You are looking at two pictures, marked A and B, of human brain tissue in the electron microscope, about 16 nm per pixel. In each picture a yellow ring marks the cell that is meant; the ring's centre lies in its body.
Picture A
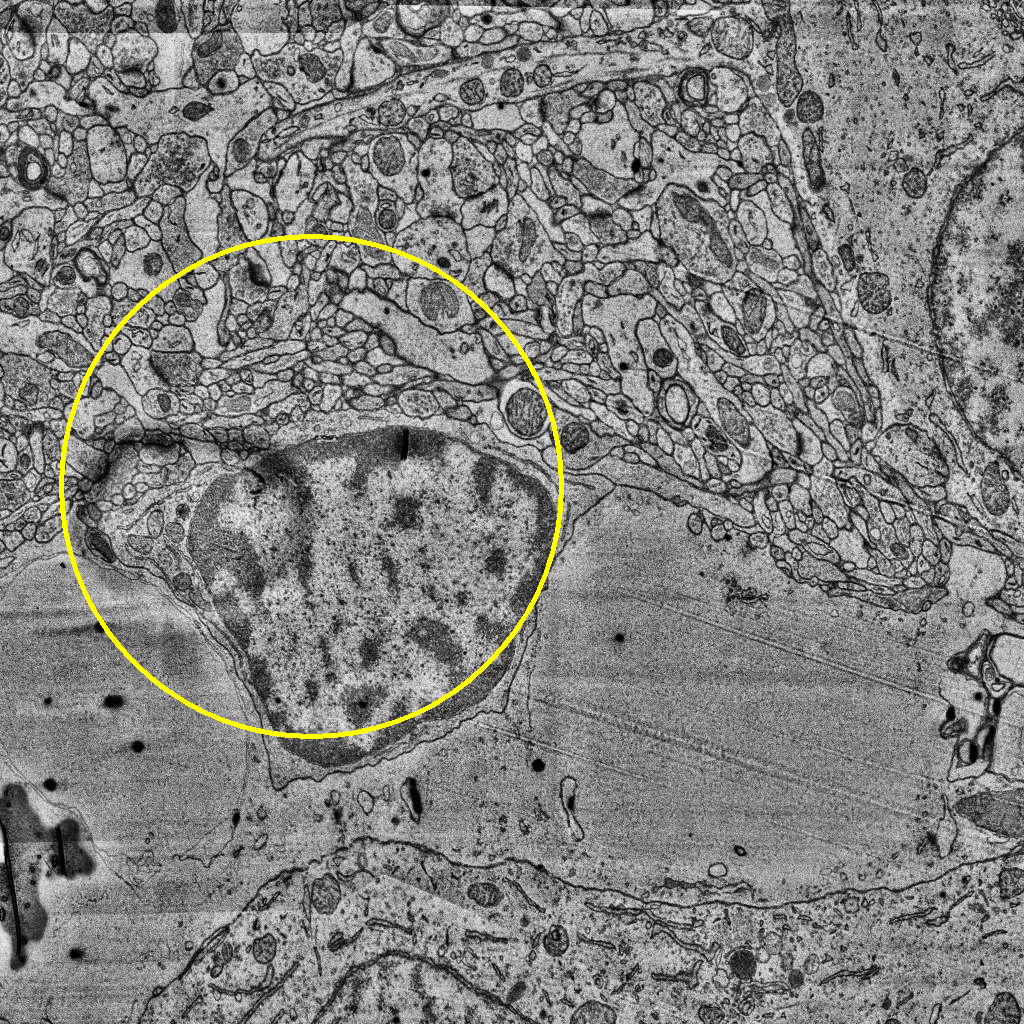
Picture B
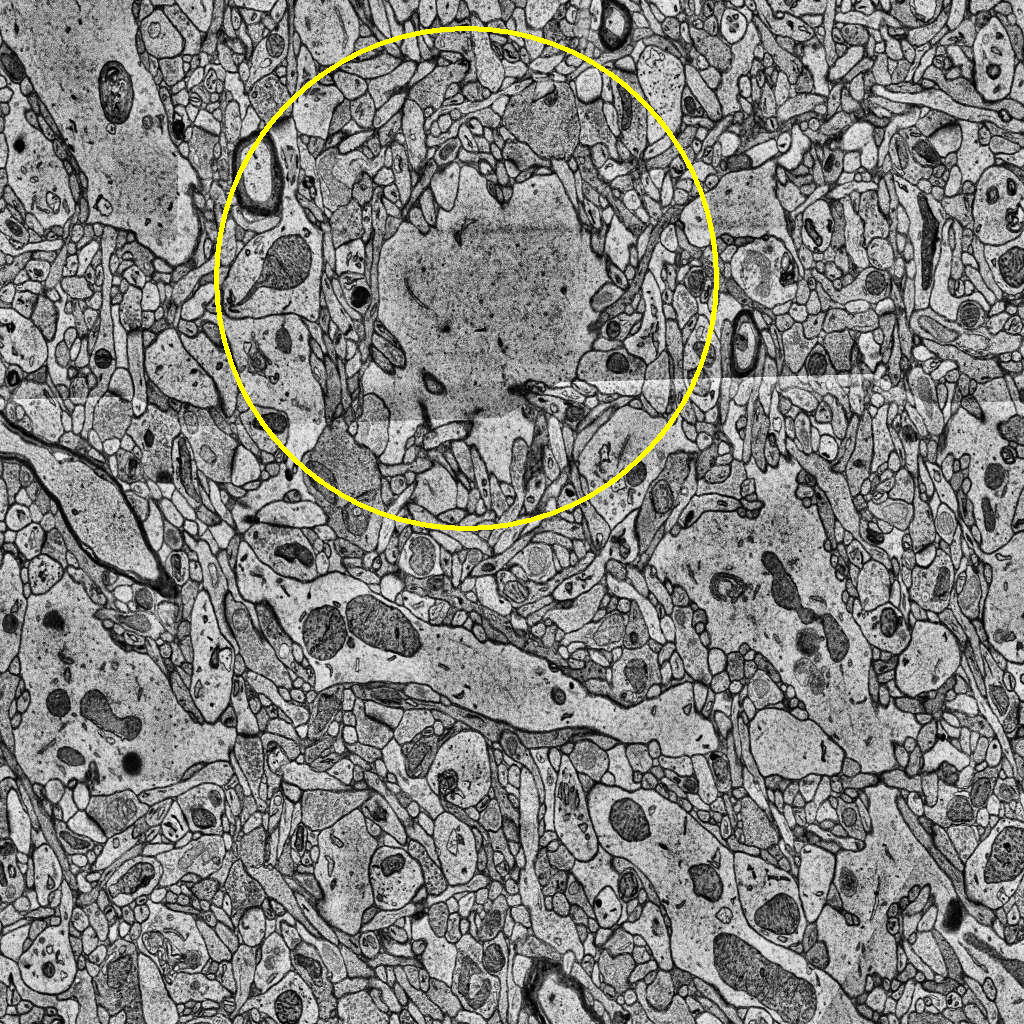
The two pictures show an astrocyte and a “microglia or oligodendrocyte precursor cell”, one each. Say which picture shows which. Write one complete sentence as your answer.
In picture A the cell is a “microglia or oligodendrocyte precursor cell”; in picture B, an astrocyte.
